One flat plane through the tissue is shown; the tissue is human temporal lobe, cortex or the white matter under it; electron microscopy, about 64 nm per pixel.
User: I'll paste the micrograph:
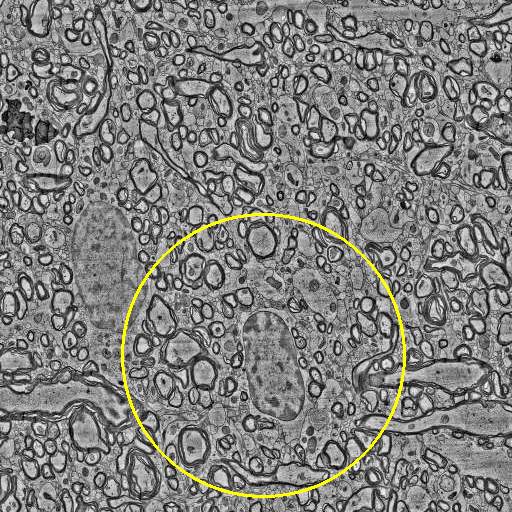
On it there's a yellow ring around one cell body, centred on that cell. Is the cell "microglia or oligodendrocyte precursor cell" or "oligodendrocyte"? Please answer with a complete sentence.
The cell ringed in yellow is a microglial cell or oligodendrocyte precursor cell.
